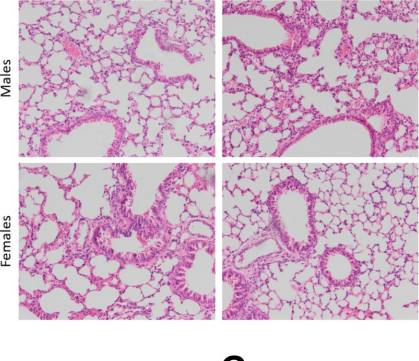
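These are sections of lung, showing the fine air spaces of the parenchyma together with larger airways and vessels. The alveoli form a lace-like mesh of thin pink septa with scattered purple nuclei, enclosing empty white spaces. Some larger empty spaces are open airway or vessel lumens. The overall pattern of air spaces and airways is similar in all four images.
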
